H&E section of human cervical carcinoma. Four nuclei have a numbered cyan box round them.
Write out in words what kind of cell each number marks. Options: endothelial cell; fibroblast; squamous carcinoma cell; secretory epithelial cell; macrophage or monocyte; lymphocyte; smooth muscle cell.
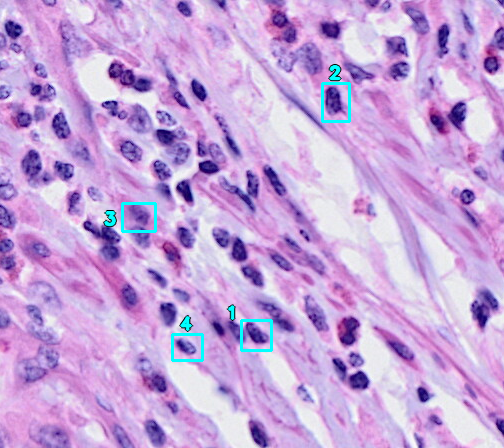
Cells 1, 2 and 4 are lymphocytes. Cell 3 is a macrophage or monocyte.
